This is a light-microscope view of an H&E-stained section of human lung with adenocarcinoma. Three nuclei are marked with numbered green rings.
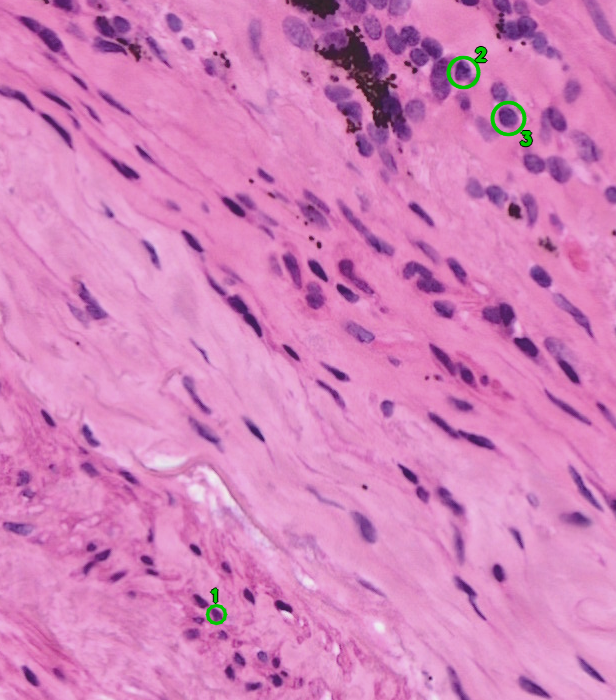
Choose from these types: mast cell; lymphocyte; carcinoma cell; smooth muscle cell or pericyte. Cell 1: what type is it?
smooth muscle cell or pericyte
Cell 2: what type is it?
lymphocyte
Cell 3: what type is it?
lymphocyte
